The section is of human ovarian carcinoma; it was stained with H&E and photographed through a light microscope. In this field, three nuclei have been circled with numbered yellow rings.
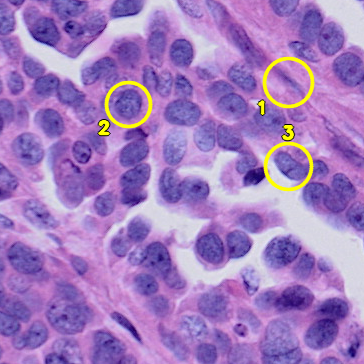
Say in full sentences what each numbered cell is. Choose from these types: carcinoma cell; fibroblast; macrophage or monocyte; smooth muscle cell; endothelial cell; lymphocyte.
Cell 1 is a fibroblast. Cells 2 and 3 are carcinoma cells.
